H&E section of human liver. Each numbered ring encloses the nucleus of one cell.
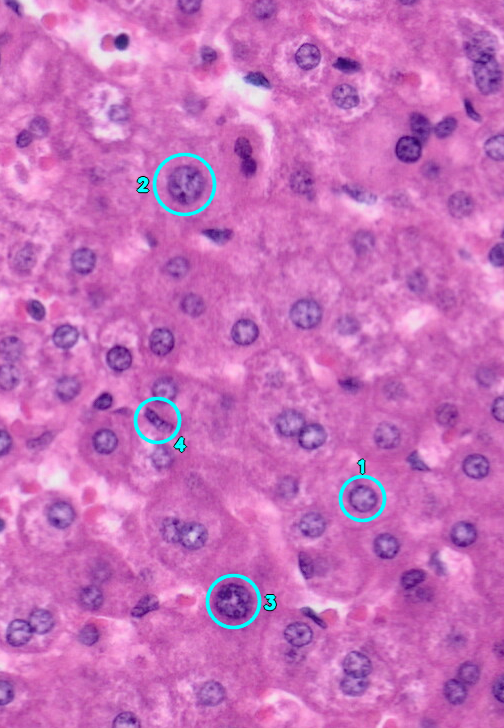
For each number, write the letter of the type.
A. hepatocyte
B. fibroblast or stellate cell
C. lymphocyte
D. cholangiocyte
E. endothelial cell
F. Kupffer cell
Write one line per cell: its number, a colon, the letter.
1: A
2: A
3: A
4: B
